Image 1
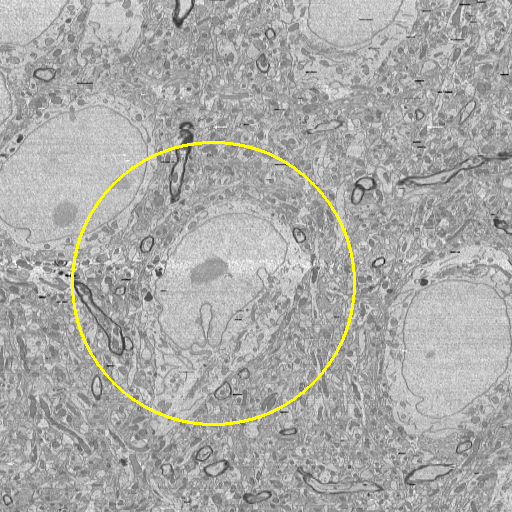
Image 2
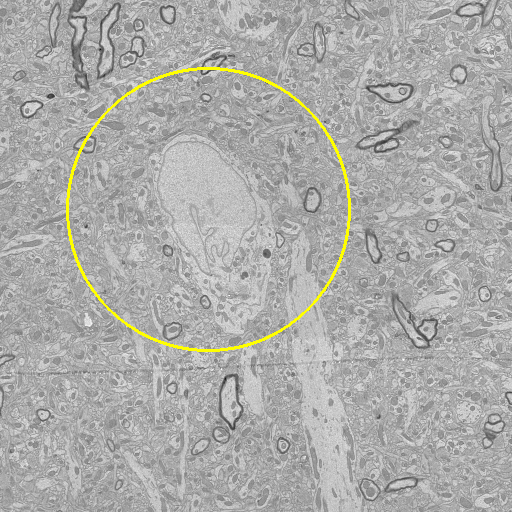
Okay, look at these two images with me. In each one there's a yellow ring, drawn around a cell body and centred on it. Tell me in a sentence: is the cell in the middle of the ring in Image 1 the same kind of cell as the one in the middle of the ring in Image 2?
Yes, they're the same kind of cell.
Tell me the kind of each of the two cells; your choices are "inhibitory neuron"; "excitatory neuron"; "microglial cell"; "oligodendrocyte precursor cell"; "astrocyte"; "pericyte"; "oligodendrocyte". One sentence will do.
Each of the two rings surrounds an inhibitory neuron.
